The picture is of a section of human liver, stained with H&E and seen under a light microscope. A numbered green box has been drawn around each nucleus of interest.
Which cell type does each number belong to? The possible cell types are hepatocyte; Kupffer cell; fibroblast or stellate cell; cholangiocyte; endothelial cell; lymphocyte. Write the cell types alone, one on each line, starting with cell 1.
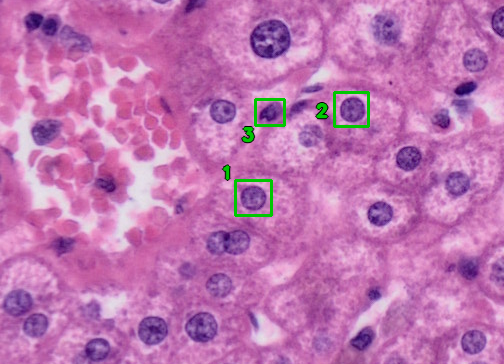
hepatocyte
hepatocyte
Kupffer cell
